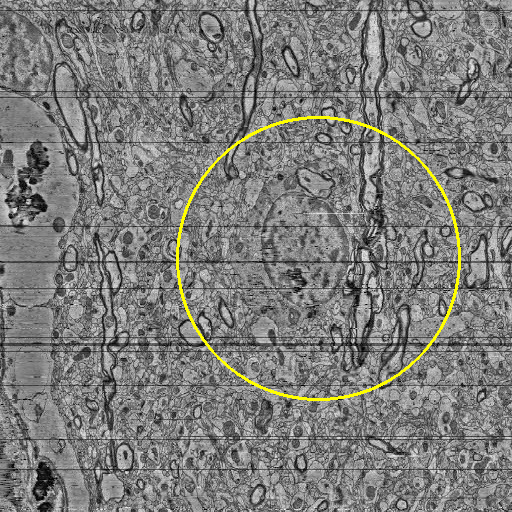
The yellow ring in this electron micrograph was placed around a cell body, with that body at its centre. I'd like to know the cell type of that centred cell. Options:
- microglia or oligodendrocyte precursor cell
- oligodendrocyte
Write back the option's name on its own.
oligodendrocyte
